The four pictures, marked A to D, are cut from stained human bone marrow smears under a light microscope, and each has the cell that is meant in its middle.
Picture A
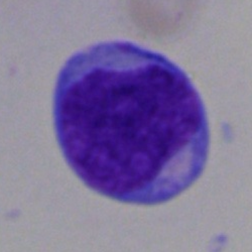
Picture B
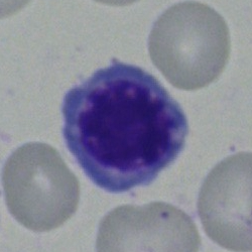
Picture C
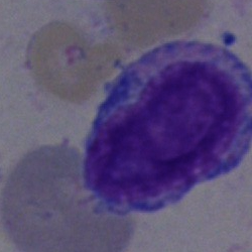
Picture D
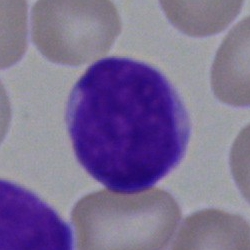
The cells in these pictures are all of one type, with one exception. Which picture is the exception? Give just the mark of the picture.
B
